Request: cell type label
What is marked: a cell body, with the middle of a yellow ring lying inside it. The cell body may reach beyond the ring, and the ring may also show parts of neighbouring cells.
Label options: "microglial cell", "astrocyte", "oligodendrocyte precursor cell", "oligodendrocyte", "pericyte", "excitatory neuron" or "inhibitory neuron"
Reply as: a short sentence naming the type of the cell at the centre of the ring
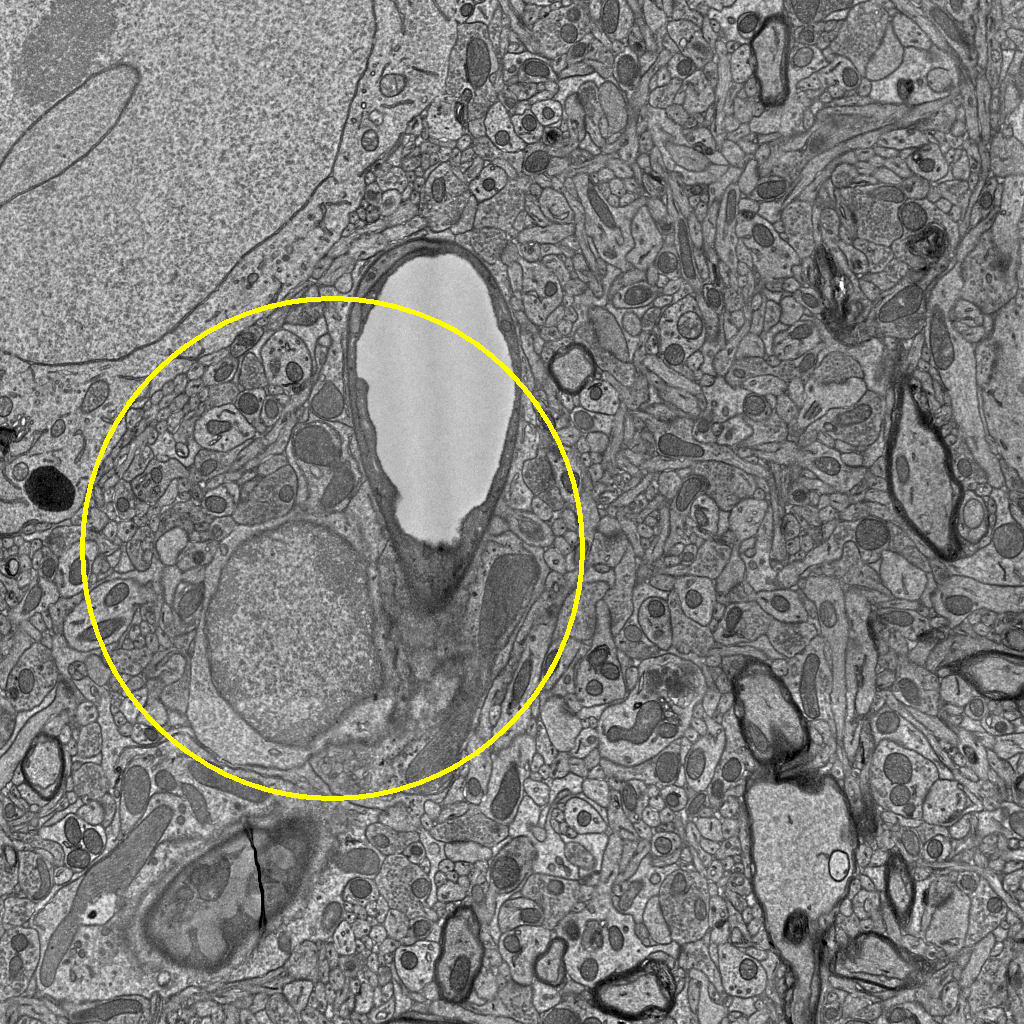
The marked cell body is that of an oligodendrocyte precursor cell.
